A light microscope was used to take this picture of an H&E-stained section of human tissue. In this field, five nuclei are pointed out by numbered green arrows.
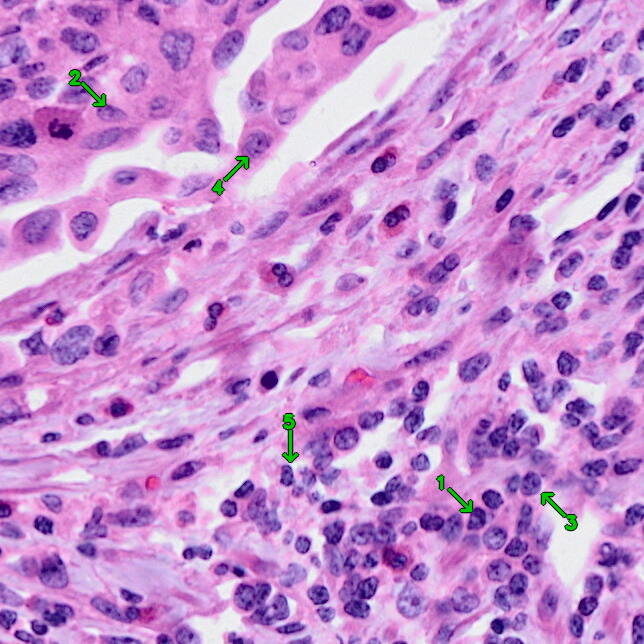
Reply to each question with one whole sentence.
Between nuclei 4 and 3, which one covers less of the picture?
Nucleus 3 covers less area, with nucleus 4 about 1.5 times as large.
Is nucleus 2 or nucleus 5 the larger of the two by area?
The larger nucleus is 2, at roughly 1.5 times the area of 5.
